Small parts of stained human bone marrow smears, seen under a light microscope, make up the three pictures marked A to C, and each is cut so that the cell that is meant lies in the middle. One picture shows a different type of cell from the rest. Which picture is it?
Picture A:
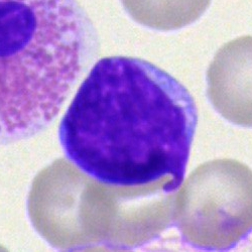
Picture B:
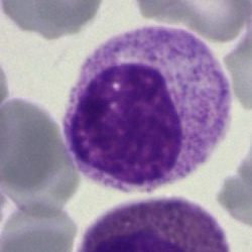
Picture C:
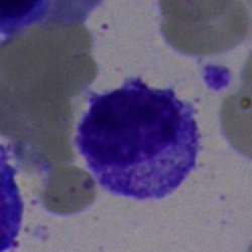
A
